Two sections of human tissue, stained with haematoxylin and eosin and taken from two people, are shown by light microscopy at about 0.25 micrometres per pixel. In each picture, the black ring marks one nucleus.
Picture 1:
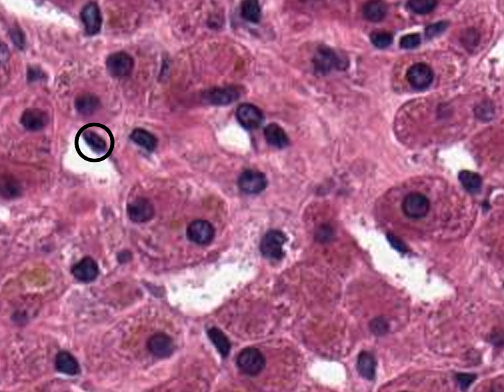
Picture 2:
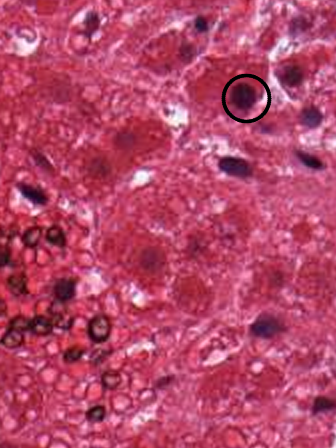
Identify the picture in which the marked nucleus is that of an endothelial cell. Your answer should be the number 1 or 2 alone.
1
